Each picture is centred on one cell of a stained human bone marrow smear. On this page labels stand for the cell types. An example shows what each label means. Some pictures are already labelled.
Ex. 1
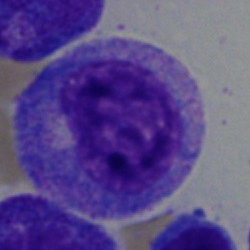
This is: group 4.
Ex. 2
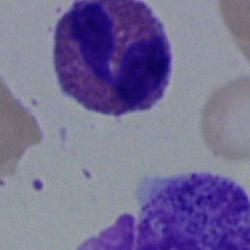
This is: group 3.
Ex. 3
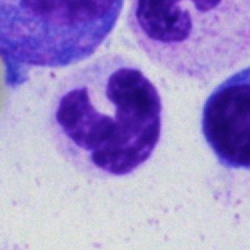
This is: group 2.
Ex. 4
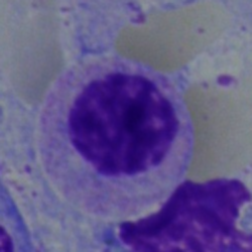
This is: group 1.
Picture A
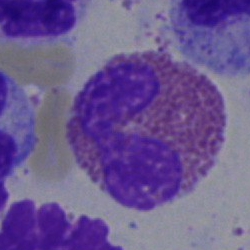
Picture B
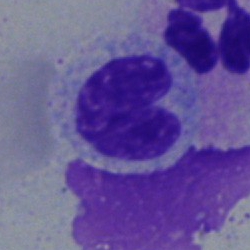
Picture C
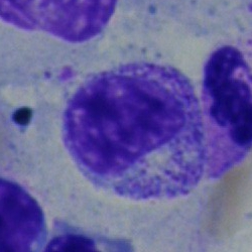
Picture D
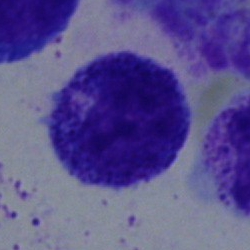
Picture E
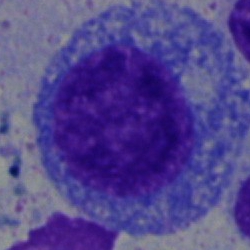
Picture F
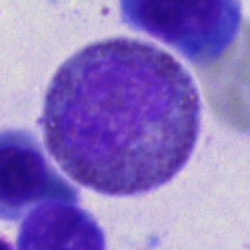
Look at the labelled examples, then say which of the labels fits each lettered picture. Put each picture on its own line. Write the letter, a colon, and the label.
A: group 3.
B: group 2.
C: group 1.
D: group 4.
E: group 4.
F: group 3.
